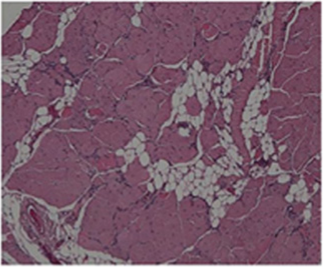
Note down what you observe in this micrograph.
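A cross-section of skeletal muscle in which the pink myofibers are broken into irregular islands by many clusters of fat cells. These appear as round, empty, white vacuoles with thin walls, grouped like a honeycomb between and around bundles of fibers. The fibers vary in size and shape, and many dark purple nuclei are scattered through the tissue. Some purple cells gather in the gaps between fibers. At the lower left, a blood vessel lies within looser connective tissue. The orderly, tightly packed arrangement of fibers is lost over much of the field.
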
